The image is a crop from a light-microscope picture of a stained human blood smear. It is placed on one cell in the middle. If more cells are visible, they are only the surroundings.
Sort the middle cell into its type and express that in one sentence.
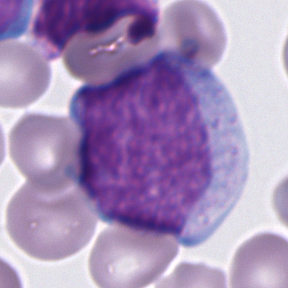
Of the cells in this crop, the central one is a promyelocyte.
